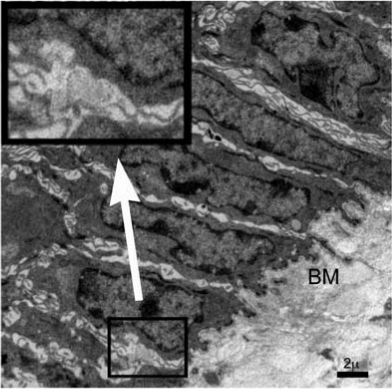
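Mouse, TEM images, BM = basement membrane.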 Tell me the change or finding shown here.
Increased space between basal keratinocytes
